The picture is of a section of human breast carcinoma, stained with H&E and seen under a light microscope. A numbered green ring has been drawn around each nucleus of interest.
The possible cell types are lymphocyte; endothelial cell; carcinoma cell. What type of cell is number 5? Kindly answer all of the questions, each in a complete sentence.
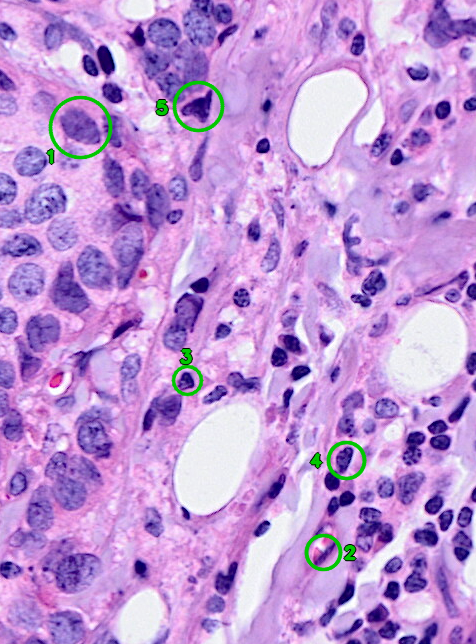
The numbered cell 5 is identified here as a carcinoma cell.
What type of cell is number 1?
The cell identified by the number 1 is a carcinoma cell.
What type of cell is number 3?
Number 3 among the marked cells is a lymphocyte.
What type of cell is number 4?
Nucleus 4 in this section belongs to a lymphocyte.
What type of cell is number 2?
In this section, the cell numbered 2 is an endothelial cell.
